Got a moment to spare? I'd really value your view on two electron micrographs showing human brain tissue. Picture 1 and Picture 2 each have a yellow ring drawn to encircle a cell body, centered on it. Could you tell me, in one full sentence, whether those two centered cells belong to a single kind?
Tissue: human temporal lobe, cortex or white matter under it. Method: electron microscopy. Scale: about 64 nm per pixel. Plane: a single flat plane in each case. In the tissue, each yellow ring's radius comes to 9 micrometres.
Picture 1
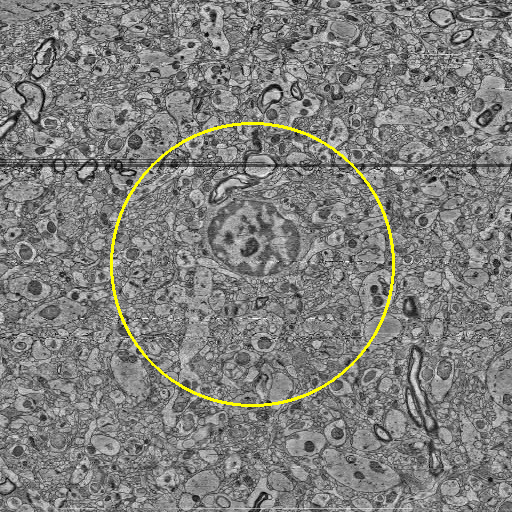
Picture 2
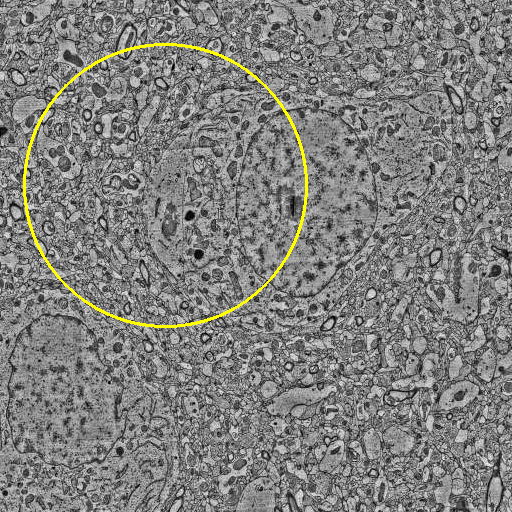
No, the two centered cells in Picture 1 and Picture 2 are of two kinds.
